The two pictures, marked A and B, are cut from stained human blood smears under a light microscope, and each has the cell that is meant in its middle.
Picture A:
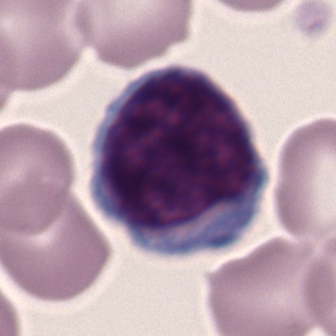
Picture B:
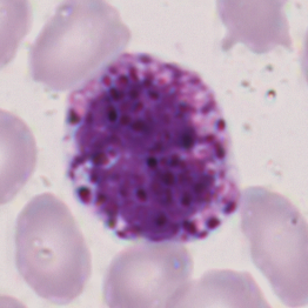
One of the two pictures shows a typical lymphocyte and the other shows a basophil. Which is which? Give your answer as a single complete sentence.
Picture B shows a basophil, while picture A shows a typical lymphocyte.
